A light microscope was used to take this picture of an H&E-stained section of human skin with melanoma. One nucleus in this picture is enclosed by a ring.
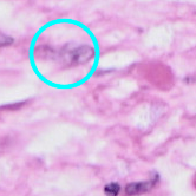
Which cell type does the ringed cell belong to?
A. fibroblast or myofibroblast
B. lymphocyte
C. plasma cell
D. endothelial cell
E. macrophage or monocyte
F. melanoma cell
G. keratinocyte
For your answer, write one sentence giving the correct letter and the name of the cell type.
Option A names the ringed cell correctly as a fibroblast or myofibroblast.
